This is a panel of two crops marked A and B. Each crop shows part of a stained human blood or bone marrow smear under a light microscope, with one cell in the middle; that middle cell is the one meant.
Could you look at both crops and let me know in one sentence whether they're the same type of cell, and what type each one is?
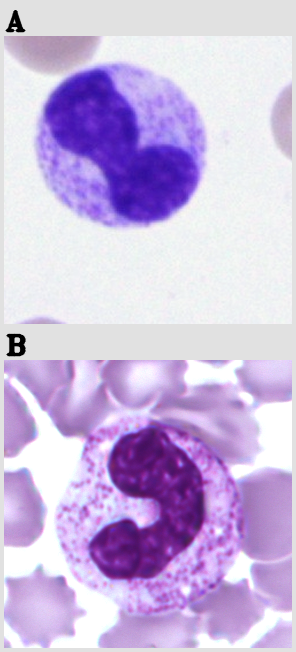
Yes, in both crops the centred cells are band neutrophils.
